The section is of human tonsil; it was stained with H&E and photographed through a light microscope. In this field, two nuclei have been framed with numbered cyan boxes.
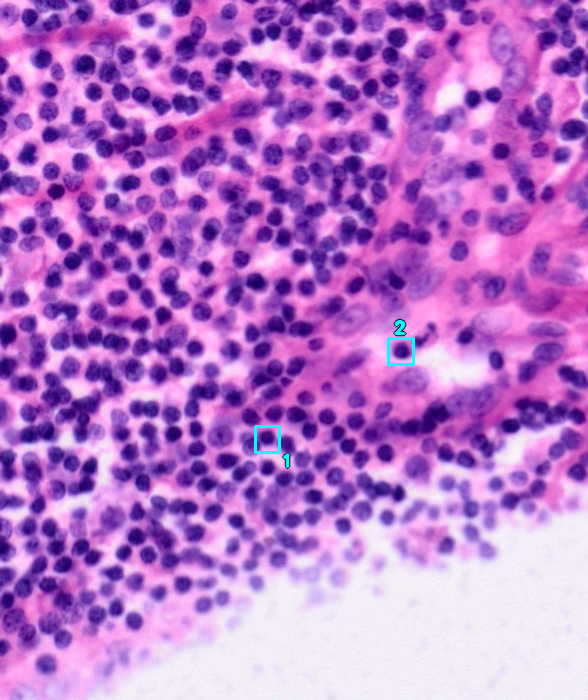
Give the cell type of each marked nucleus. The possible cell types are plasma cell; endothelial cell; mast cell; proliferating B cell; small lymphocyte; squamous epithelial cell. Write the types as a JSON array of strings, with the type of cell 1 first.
["small lymphocyte", "endothelial cell"]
